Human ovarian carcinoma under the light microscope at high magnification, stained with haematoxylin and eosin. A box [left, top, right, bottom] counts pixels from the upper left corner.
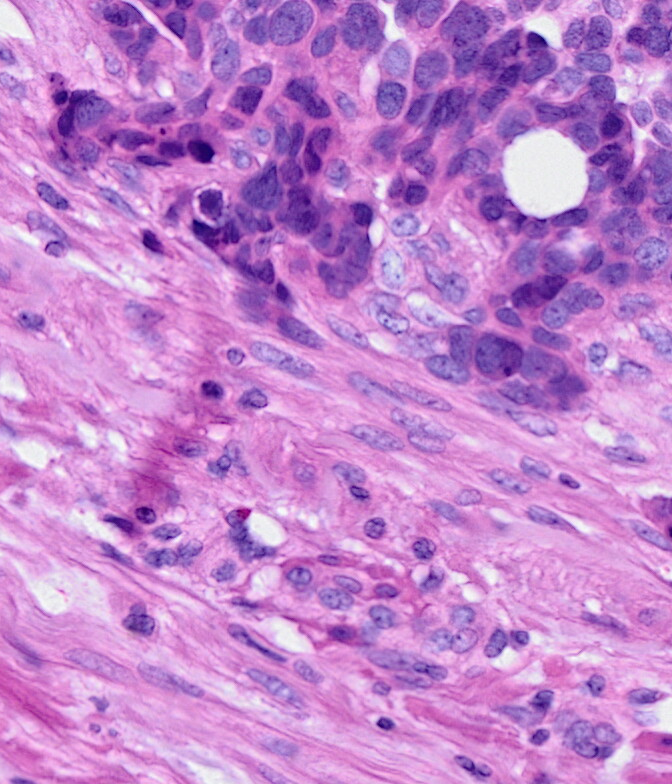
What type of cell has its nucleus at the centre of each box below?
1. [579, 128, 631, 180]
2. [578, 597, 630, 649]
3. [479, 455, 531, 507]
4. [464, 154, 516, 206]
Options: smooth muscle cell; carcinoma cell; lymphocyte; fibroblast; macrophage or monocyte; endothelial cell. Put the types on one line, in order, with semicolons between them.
carcinoma cell; fibroblast; fibroblast; carcinoma cell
